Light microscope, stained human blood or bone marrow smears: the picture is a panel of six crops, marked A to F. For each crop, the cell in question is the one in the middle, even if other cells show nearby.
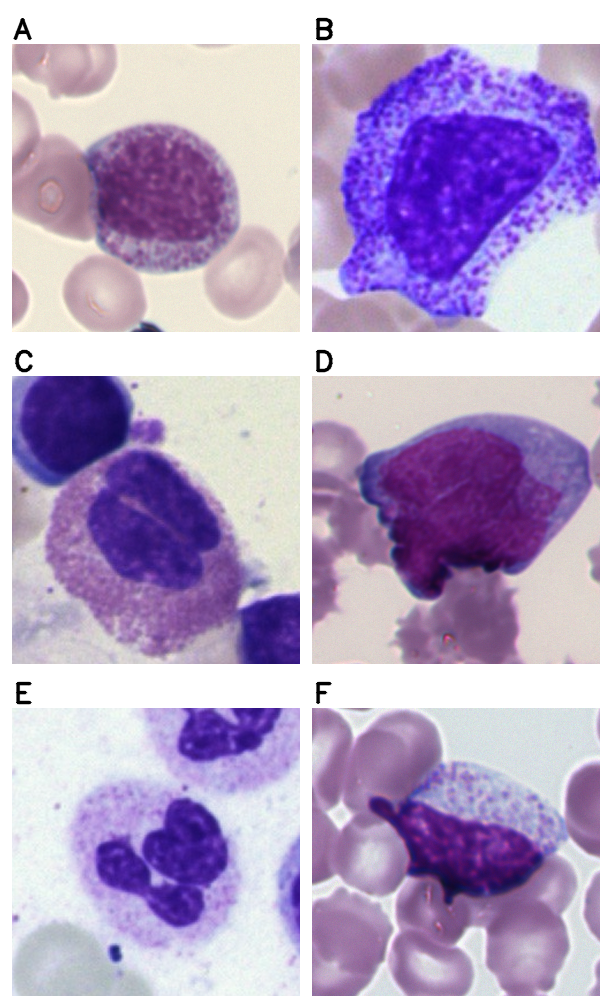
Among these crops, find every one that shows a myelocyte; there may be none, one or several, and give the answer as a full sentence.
The target cells in crops A, B and F are myelocytes.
